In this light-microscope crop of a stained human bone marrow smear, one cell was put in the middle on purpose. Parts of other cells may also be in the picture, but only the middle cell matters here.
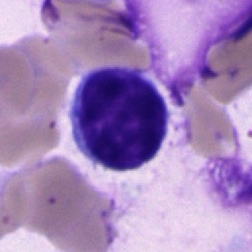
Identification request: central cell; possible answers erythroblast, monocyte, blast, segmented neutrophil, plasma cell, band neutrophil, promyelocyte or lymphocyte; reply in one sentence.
The target cell in the middle of the crop is a lymphocyte.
